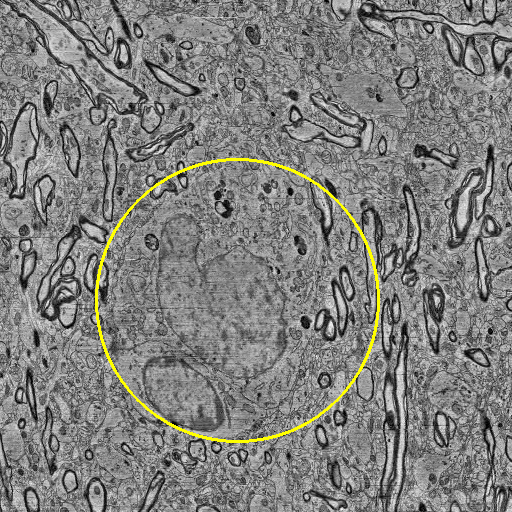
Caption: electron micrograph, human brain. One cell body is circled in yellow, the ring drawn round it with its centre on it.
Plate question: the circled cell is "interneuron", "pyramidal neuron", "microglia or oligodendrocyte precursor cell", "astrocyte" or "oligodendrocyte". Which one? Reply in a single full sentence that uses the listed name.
The yellow ring on the plate is centred on an interneuron, going by the listed names.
